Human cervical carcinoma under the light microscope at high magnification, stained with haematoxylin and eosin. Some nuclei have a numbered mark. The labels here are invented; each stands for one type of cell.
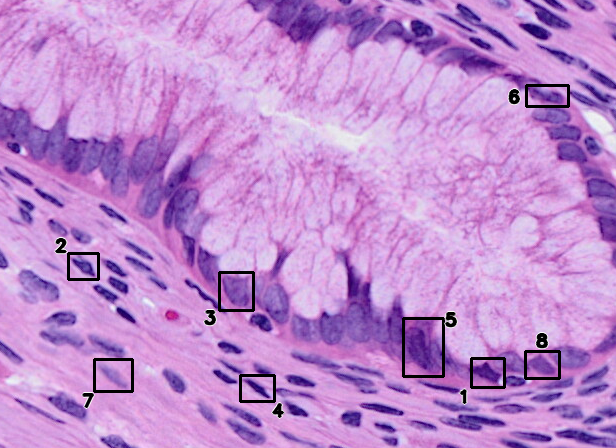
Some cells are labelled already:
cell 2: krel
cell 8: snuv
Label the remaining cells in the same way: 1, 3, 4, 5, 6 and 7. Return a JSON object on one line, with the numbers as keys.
{"1": "snuv", "3": "snuv", "4": "krel", "5": "snuv", "6": "snuv", "7": "krel"}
